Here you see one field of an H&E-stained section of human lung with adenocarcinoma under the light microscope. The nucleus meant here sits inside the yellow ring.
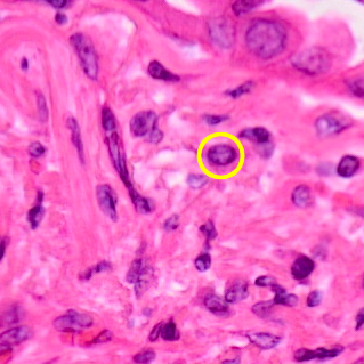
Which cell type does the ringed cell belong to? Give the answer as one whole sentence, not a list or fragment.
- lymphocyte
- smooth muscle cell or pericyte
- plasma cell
In cellular terms, the ringed cell is a plasma cell.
